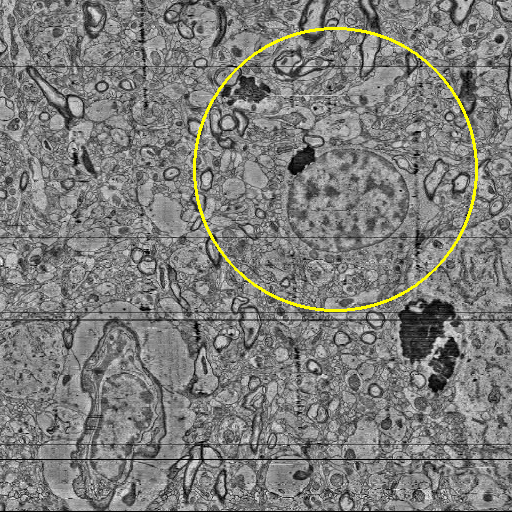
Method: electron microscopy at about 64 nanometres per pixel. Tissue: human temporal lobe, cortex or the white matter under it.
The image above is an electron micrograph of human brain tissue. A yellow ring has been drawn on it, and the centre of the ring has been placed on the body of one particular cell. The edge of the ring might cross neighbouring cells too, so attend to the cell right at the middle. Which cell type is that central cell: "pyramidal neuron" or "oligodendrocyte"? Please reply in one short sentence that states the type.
The central cell in the ring is an oligodendrocyte.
